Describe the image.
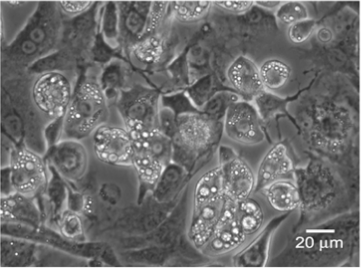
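Cultured adipocytes in a confluent layer, phase contrast. Rounded and oval cells, some grouped in clusters, are filled with numerous refractile lipid droplets of varied size, each bright with a dark rim, giving a foamy look. Between and beneath them lie flat, widely spread cells with pale, faint cytoplasm, thin edges and processes, and oval nuclei; these hold few or no droplets. The droplet-laden cells stand out as raised and rounded over the flat layer. One rounded cell appears granular rather than droplet-filled.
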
